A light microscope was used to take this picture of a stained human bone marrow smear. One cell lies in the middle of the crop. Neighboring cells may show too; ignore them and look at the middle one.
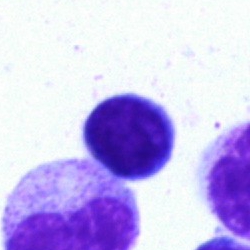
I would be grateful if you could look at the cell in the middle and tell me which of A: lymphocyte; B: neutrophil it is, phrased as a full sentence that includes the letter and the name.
Option A is the correct one; it names the central cell as a lymphocyte.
